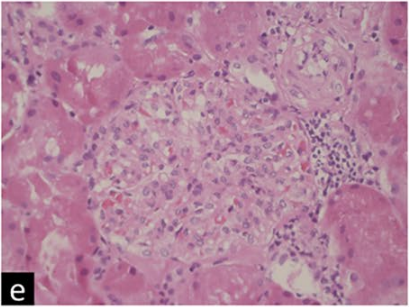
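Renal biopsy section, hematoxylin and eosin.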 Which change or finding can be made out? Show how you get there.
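A glomerulus with crowded nuclei filling the tuft.
Hence: proliferative glomerulonephritis.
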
